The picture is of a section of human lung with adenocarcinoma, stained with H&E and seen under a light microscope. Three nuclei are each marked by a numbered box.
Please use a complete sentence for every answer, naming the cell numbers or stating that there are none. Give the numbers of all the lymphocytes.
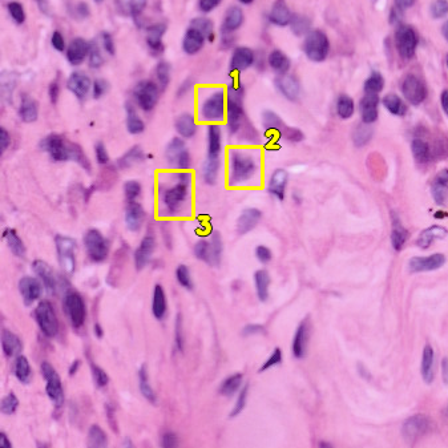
The nucleus labelled 1 alone belongs to a lymphocyte; the other marked nuclei do not.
